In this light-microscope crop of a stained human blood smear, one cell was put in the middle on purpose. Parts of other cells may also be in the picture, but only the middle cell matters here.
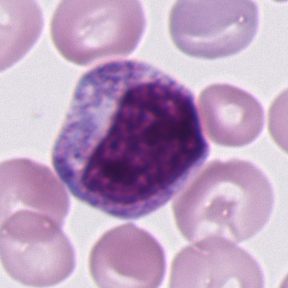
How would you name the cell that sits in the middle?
metamyelocyte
